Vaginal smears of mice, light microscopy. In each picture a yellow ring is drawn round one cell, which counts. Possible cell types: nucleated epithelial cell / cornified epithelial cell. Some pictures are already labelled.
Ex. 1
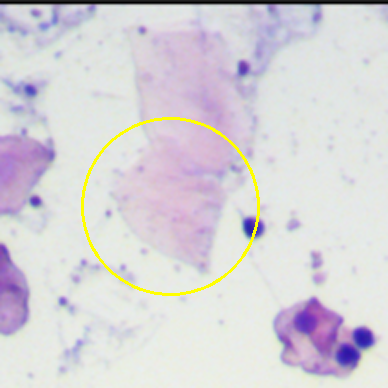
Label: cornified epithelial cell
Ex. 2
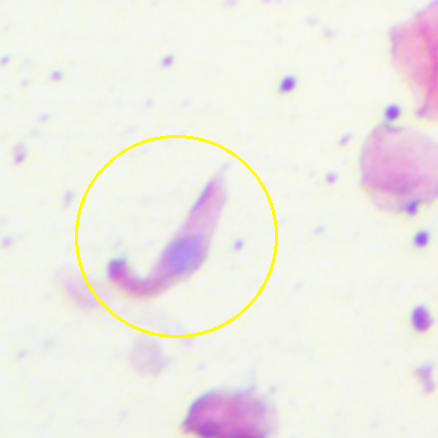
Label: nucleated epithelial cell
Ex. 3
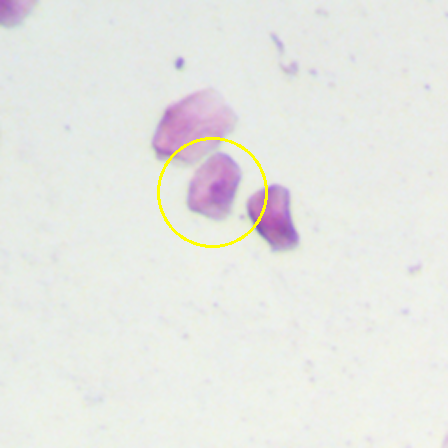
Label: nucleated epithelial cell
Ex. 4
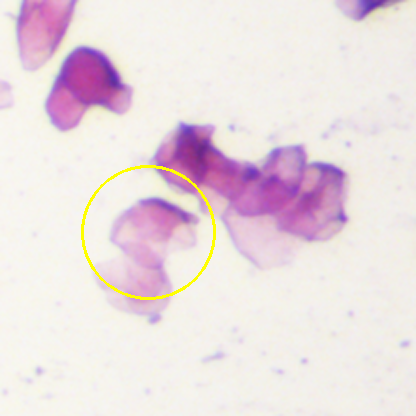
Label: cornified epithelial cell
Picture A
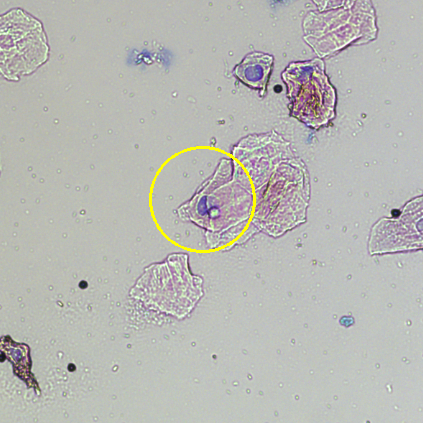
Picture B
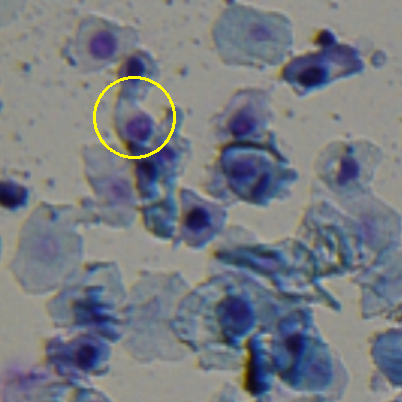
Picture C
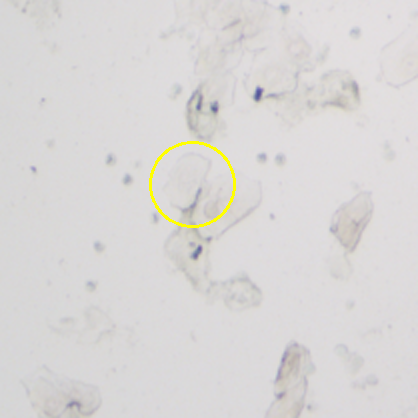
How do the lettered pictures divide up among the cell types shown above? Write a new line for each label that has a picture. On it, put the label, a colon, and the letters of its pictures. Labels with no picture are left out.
nucleated epithelial cell: A, B
cornified epithelial cell: C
